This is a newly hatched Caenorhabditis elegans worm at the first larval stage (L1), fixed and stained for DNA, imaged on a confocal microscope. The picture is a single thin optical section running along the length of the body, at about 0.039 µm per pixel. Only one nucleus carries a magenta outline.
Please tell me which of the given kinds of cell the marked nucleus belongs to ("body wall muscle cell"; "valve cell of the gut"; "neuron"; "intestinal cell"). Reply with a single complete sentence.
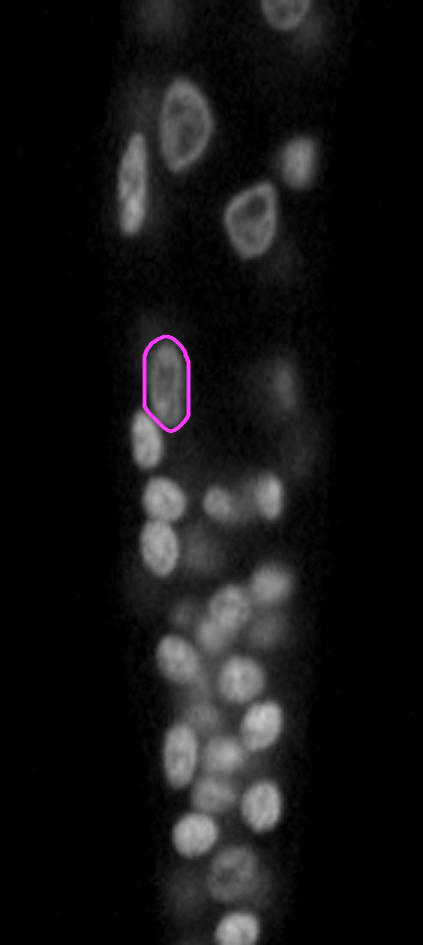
What is marked is the nucleus of an intestinal cell.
